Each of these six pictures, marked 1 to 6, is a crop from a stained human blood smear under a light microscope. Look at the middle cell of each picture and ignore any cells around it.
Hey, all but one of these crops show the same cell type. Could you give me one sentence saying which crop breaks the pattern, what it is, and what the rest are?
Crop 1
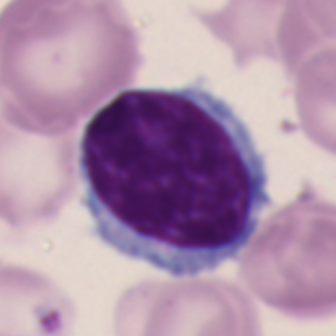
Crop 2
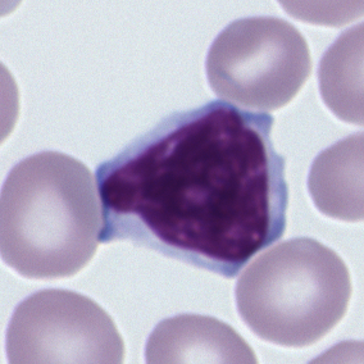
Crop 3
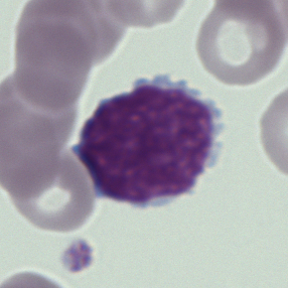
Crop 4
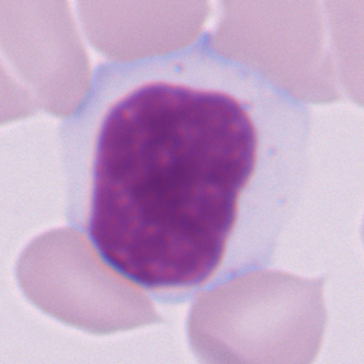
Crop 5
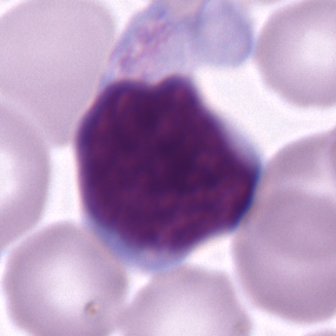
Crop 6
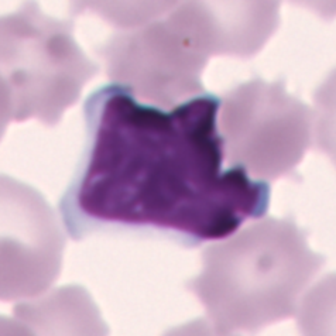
Crop 5 alone is a large granular lymphocyte, and the other crops are all typical lymphocytes.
